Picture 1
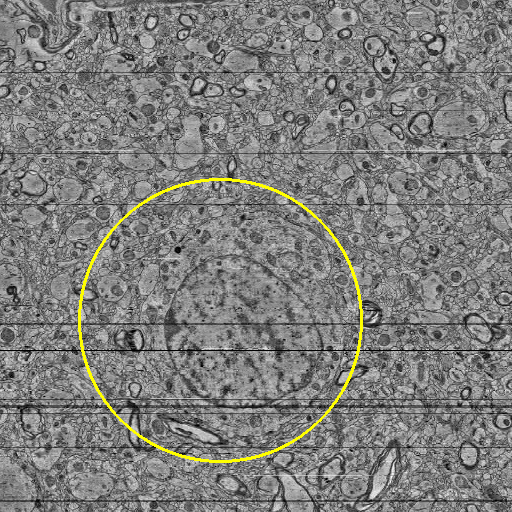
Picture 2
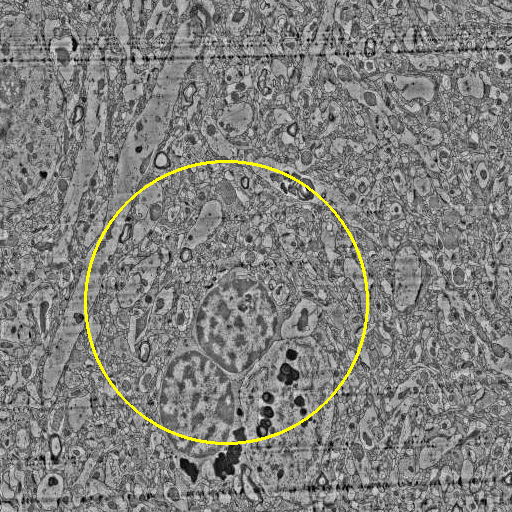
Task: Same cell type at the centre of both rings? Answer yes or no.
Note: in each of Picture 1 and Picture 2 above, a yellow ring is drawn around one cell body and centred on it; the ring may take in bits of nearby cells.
no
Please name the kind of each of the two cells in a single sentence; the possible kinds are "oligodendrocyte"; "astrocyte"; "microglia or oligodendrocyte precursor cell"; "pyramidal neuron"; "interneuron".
In the first picture the ring is centred on an interneuron, and in the second on an oligodendrocyte.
